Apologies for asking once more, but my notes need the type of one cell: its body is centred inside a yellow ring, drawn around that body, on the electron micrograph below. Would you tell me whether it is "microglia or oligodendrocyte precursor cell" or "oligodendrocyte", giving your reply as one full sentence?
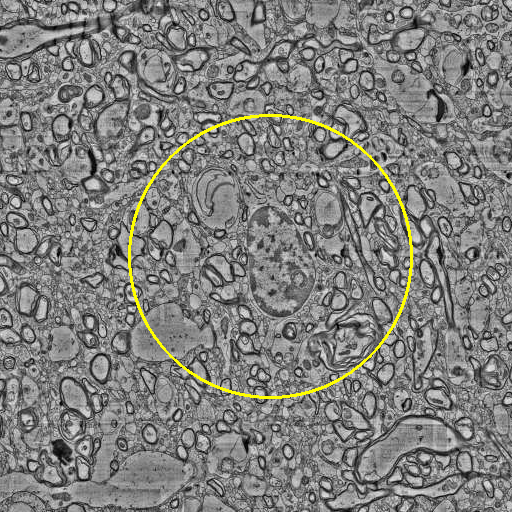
The cell that the yellow ring is centred on is a microglial cell or oligodendrocyte precursor cell in this micrograph.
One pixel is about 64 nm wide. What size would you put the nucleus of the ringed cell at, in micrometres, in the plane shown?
The nucleus measures about 7 by 5 micrometres in this plane.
